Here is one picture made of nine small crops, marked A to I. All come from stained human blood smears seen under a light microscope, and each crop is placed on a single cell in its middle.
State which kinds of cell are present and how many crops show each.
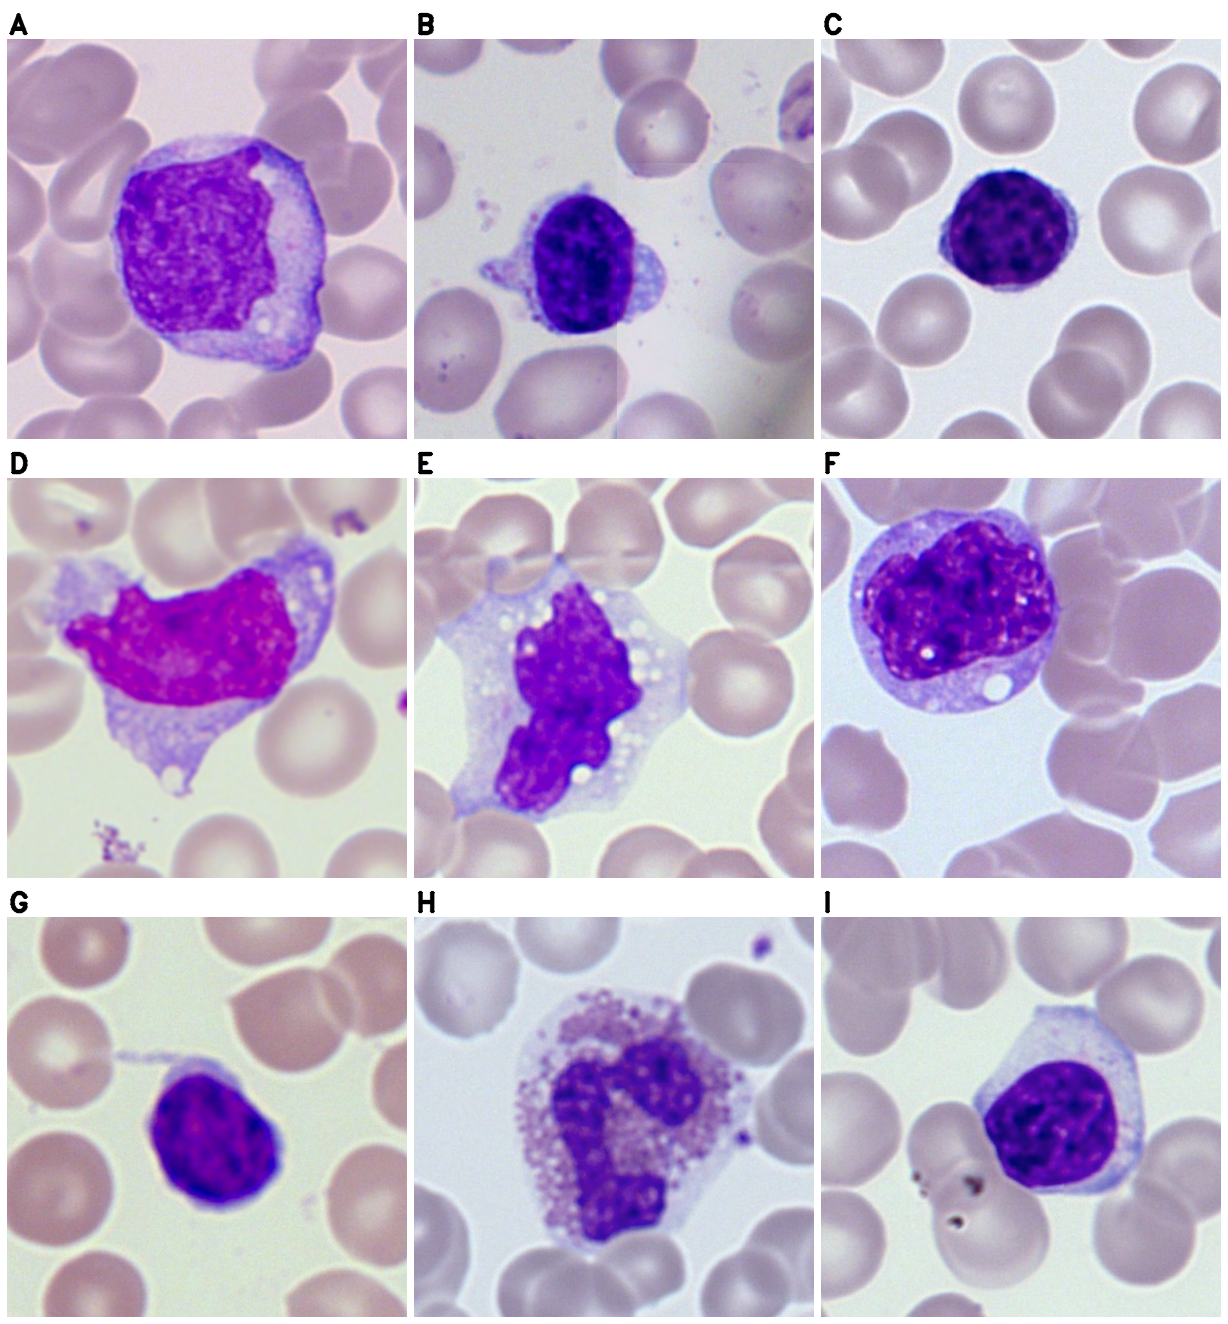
monocyte: 4
lymphocyte: 4
eosinophil: 1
